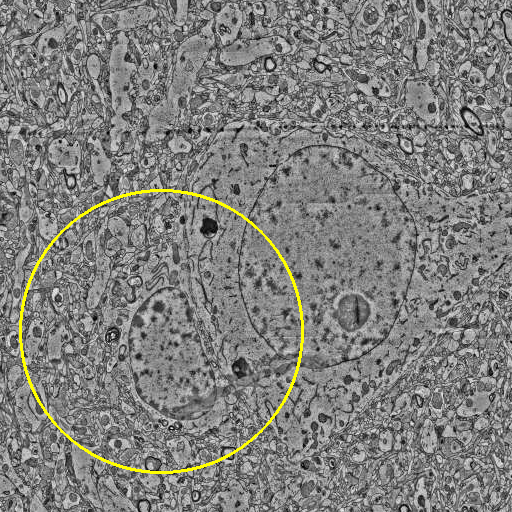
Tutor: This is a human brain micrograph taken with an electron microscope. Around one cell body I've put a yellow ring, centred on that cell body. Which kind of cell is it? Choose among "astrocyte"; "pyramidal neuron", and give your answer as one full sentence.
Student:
Going by your list, the cell centred in the yellow ring is an astrocyte.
